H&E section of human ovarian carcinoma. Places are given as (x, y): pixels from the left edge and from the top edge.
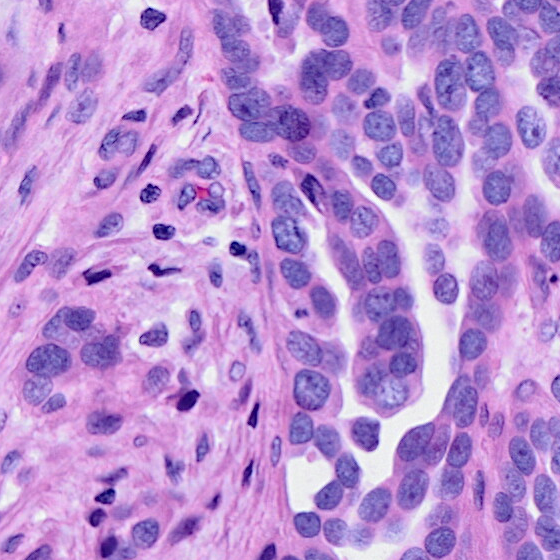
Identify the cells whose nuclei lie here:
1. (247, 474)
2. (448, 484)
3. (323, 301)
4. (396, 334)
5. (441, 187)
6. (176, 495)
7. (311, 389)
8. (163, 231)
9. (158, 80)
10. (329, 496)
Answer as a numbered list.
1. fibroblast
2. carcinoma cell
3. carcinoma cell
4. carcinoma cell
5. carcinoma cell
6. fibroblast
7. carcinoma cell
8. lymphocyte
9. fibroblast
10. carcinoma cell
